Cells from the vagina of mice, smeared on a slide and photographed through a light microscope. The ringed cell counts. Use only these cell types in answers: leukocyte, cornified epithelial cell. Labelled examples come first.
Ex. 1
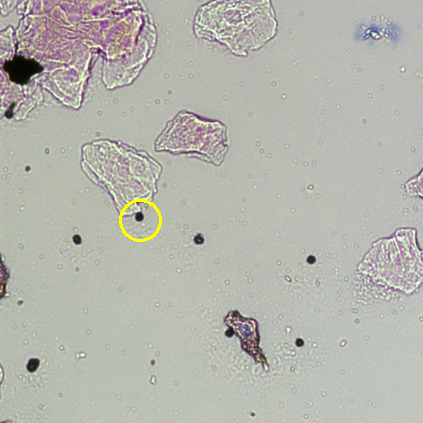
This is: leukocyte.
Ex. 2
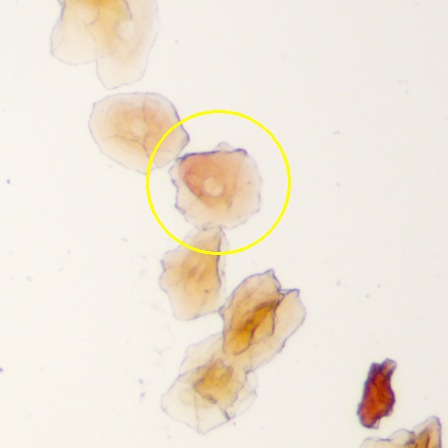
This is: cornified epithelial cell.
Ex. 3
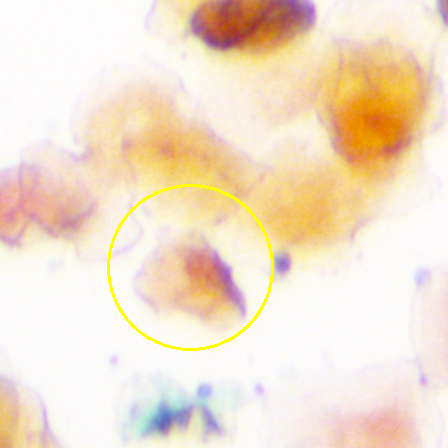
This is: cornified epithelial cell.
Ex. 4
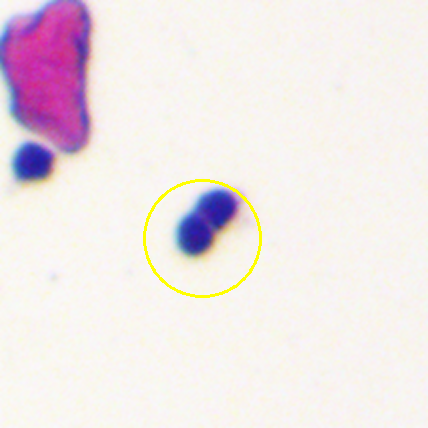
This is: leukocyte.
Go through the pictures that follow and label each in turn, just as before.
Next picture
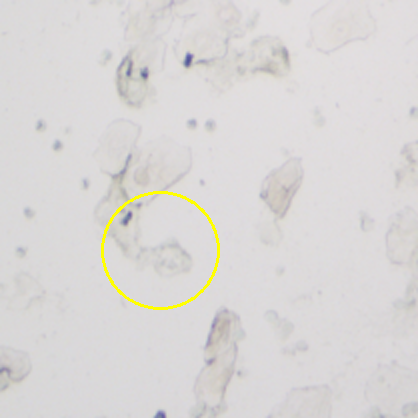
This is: cornified epithelial cell.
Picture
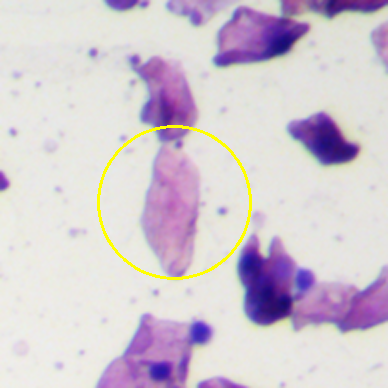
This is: cornified epithelial cell.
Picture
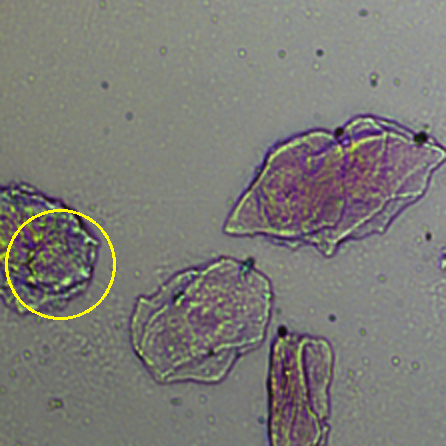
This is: cornified epithelial cell.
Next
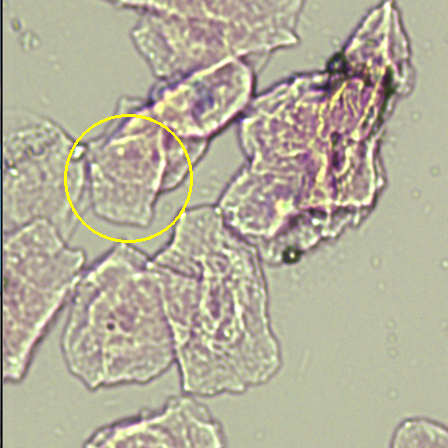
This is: cornified epithelial cell.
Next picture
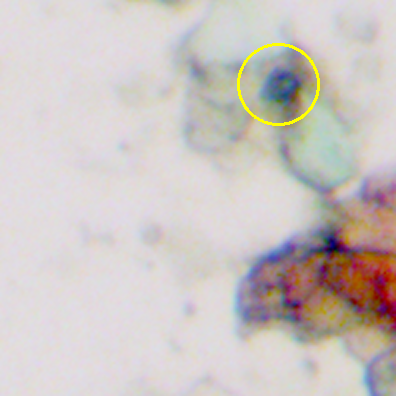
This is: leukocyte.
